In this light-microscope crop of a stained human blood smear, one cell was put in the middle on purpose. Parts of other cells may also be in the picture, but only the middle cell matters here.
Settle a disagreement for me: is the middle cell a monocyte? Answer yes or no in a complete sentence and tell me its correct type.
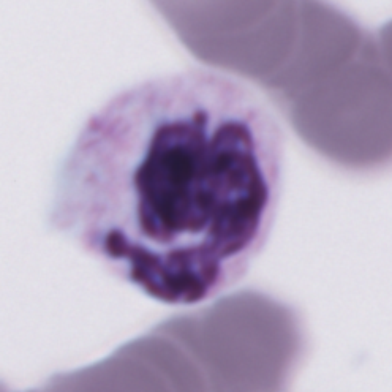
No, rather than being a monocyte, the central cell is a segmented neutrophil.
